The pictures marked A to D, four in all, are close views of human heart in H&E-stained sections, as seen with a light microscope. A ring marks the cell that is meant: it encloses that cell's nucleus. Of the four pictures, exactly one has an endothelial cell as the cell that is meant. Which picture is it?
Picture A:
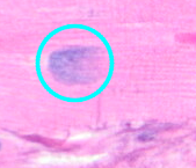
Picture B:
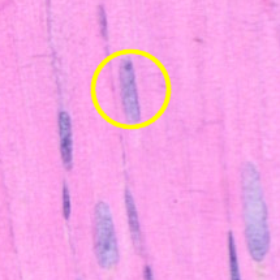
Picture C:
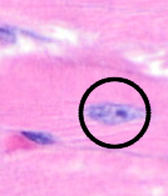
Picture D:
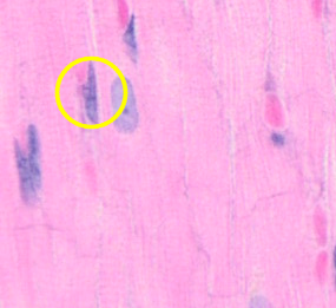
D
